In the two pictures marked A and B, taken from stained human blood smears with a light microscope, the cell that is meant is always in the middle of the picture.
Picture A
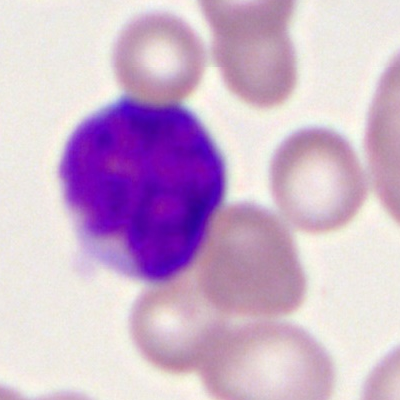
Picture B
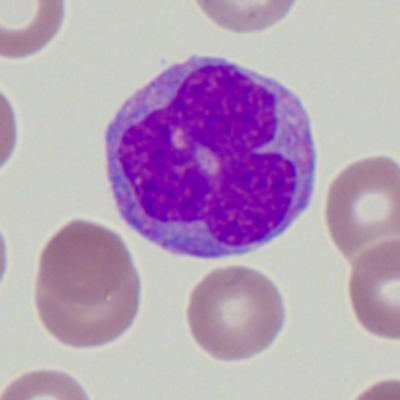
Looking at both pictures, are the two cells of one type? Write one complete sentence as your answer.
No. Picture A shows a myeloblast, but picture B shows a monocyte.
